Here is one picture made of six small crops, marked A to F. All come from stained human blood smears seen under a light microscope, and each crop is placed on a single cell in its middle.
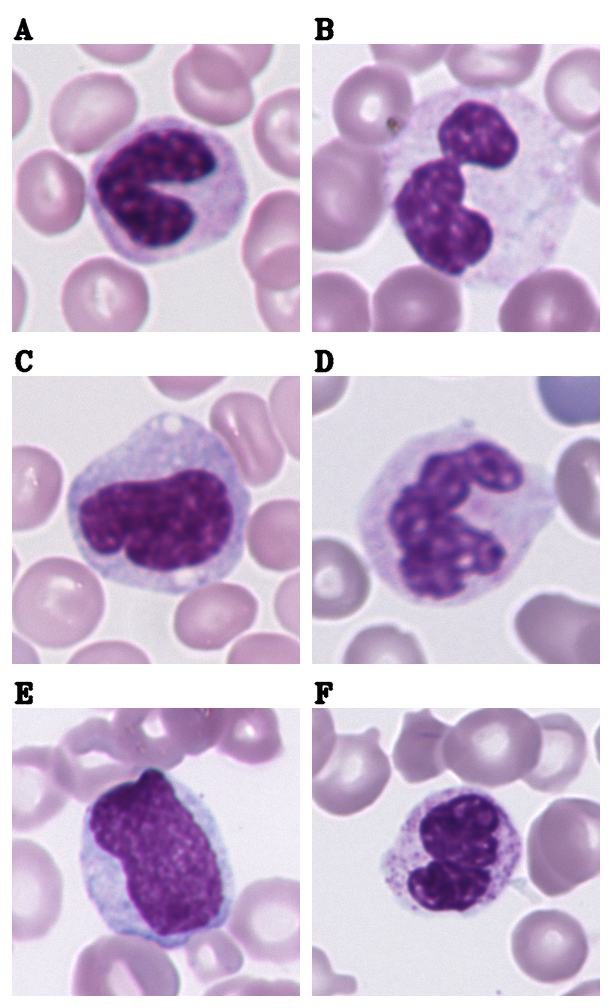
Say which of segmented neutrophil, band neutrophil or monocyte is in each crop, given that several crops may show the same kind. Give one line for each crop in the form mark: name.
A: band neutrophil
B: segmented neutrophil
C: monocyte
D: segmented neutrophil
E: monocyte
F: segmented neutrophil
